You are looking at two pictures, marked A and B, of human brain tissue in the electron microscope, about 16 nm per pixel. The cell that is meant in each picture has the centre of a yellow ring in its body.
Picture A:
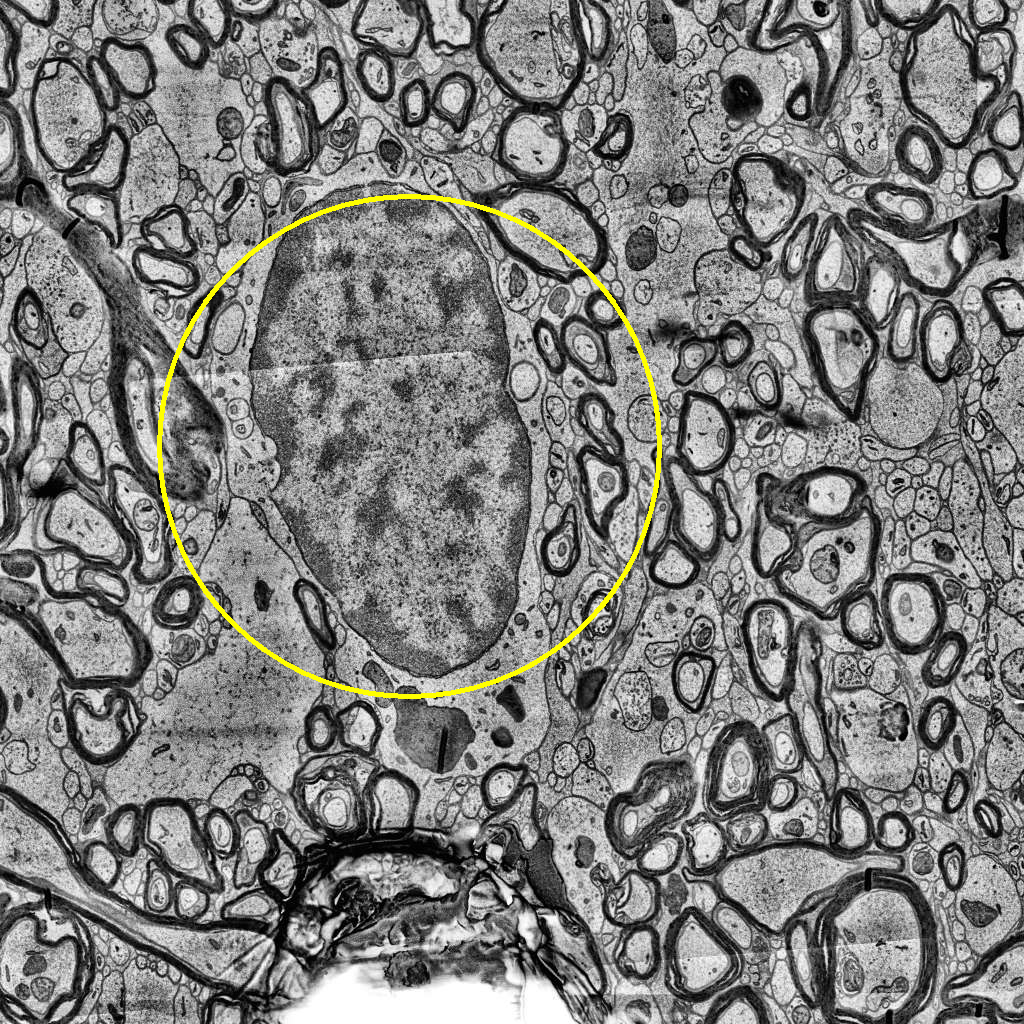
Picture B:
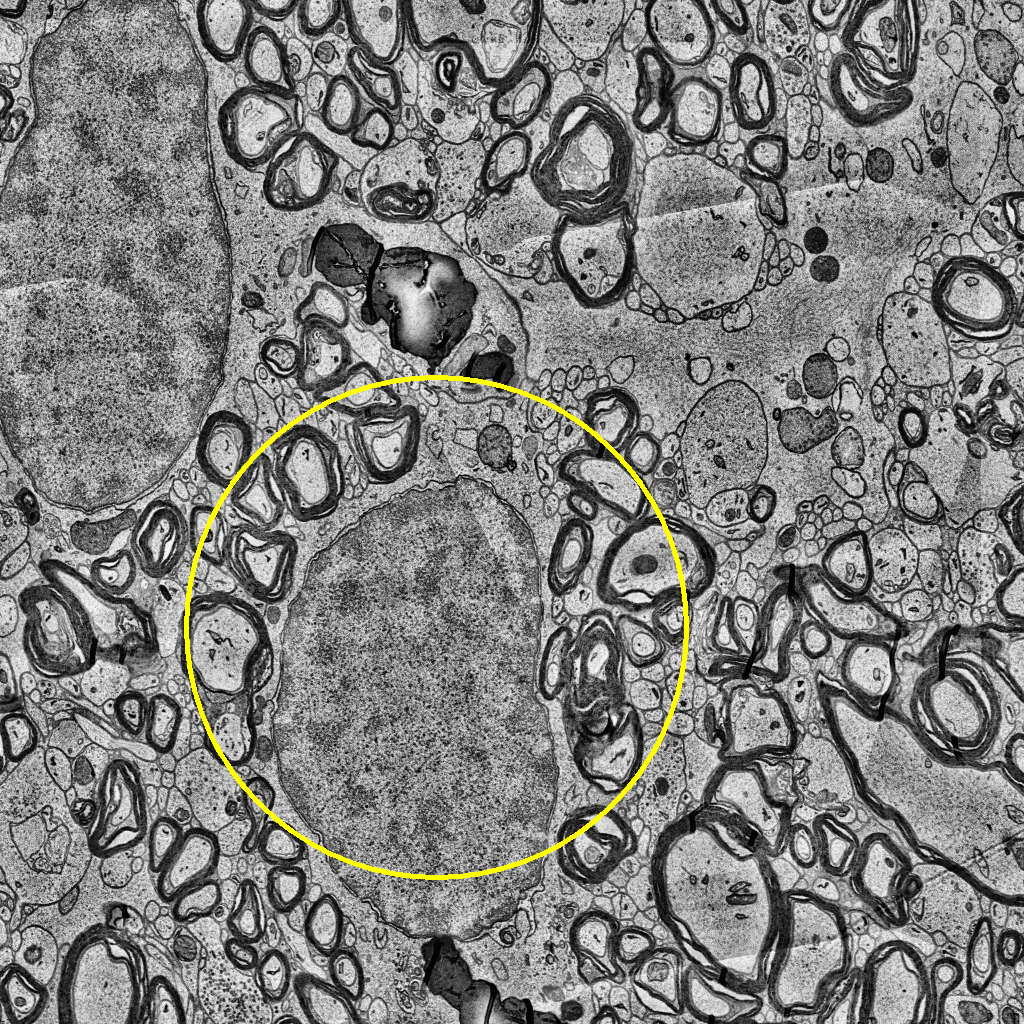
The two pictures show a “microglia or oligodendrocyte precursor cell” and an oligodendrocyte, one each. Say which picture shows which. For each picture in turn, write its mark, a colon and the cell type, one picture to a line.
A: microglia or oligodendrocyte precursor cell
B: oligodendrocyte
